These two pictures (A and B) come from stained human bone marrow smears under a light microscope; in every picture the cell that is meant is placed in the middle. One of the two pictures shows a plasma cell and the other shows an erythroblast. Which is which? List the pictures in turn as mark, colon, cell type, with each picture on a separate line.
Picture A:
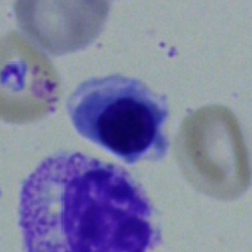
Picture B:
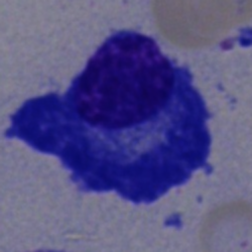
A: erythroblast
B: plasma cell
